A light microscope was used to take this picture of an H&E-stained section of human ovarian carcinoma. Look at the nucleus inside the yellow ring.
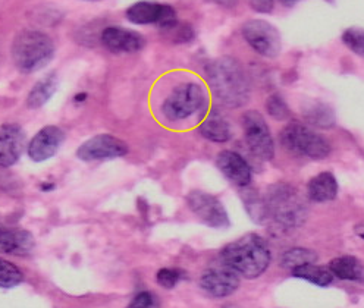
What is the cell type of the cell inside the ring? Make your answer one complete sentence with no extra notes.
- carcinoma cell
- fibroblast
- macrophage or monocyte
In cellular terms, the cell inside the ring is a macrophage or monocyte.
